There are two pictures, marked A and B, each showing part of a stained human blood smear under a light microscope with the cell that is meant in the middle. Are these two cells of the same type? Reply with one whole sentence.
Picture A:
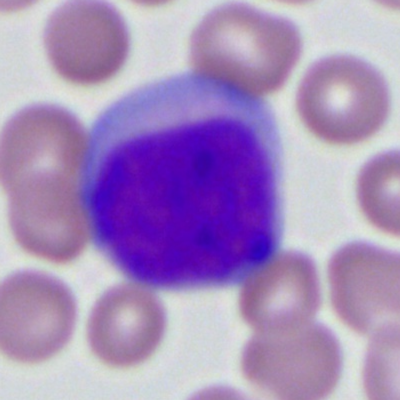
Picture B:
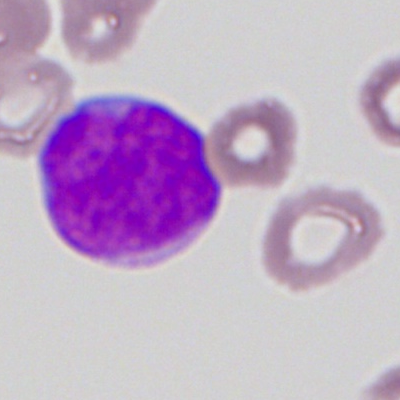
Yes, they are the same type: both are myeloblasts.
